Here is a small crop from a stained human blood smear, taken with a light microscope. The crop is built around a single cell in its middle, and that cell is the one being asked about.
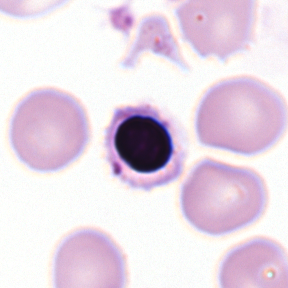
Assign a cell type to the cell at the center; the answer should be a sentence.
The cell shown in the center of this light-microscope crop is an erythroblast.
